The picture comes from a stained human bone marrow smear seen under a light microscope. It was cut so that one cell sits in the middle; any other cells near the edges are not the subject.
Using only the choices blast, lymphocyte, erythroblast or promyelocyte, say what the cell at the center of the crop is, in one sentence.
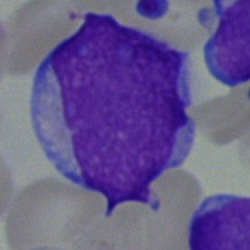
In the central position of this crop, the cell is a blast.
